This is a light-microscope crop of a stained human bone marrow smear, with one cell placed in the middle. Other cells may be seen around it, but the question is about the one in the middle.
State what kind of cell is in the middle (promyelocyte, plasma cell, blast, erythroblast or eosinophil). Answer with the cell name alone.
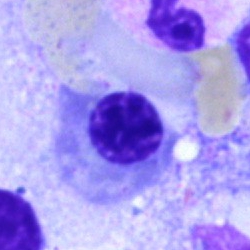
erythroblast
